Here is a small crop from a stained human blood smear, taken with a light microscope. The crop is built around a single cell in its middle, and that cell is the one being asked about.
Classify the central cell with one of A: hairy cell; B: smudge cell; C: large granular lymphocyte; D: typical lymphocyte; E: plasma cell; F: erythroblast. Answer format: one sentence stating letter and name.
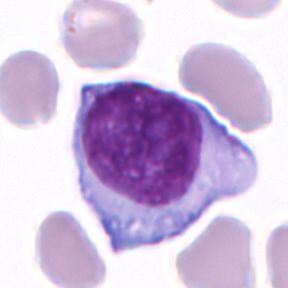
This one is option E, since the cell at the center is a plasma cell.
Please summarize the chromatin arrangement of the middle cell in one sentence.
Answer: the chromatin in this nucleus is coarsely clumped.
